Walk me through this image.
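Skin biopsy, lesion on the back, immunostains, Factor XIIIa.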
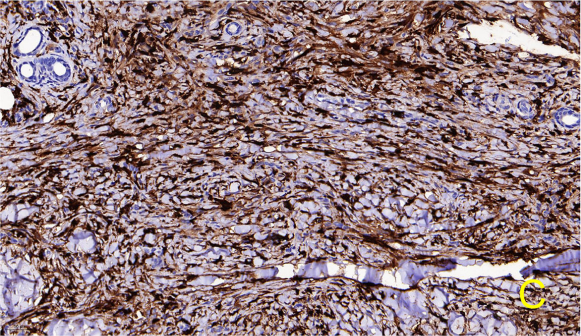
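Dermal tumor of densely packed spindle-shaped tumor cells whose cytoplasm and processes are stained deep brown. The stained cells are elongated, with slender tapering processes, and run in streaming, interlacing fascicles and whorls across the field; blue oval nuclei show through the brown. At the upper left, small round ducts with blue-stained epithelial lining remain unstained, and pale grey-blue collagen bundles at the lower edge are free of stain.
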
